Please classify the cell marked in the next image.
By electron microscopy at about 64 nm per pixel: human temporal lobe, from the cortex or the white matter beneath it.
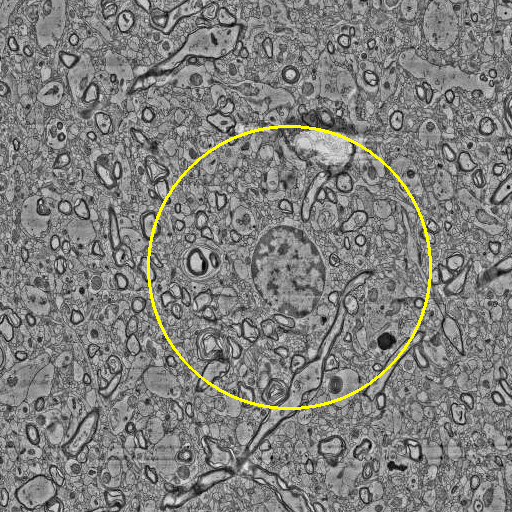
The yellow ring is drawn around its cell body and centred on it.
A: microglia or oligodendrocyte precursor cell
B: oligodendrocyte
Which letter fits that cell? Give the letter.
A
